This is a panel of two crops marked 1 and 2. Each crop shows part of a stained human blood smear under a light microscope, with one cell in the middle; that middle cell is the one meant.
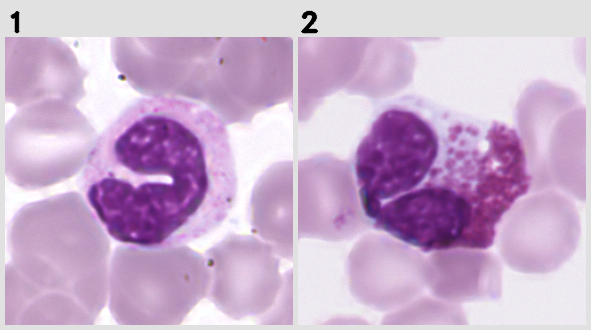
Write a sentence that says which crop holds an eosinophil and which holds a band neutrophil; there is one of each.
Crop 1 is to be read as a band neutrophil and crop 2 as an eosinophil.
